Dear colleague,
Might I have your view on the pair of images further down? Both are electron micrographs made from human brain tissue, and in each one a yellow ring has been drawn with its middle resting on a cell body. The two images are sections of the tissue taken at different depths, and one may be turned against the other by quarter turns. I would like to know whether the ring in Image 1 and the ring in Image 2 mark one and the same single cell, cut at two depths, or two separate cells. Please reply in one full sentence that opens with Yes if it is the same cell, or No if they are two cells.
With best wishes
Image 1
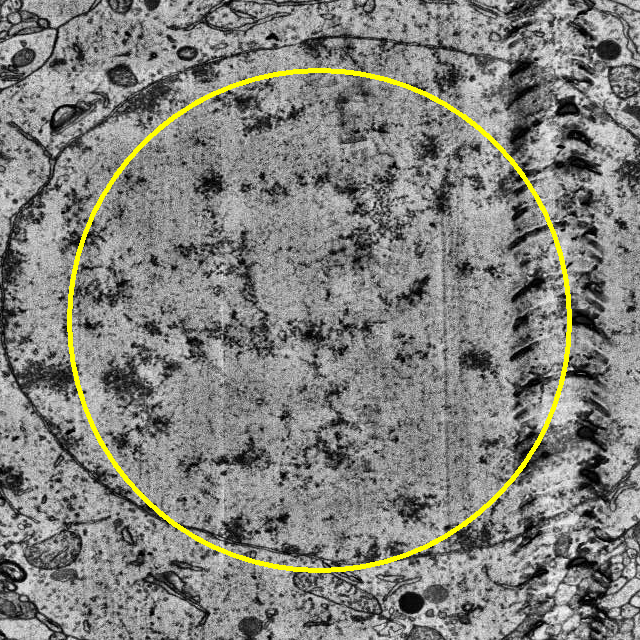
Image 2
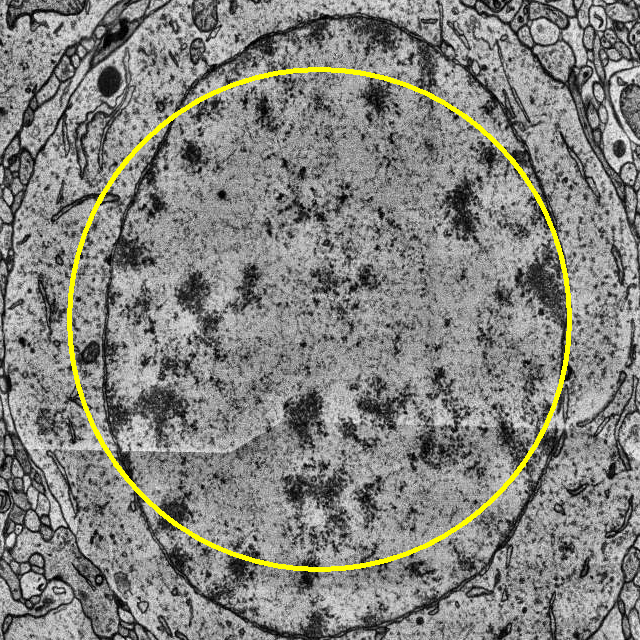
Yes, both rings are placed on a single cell.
